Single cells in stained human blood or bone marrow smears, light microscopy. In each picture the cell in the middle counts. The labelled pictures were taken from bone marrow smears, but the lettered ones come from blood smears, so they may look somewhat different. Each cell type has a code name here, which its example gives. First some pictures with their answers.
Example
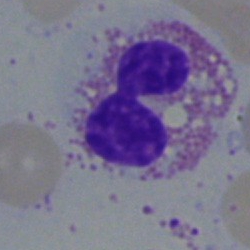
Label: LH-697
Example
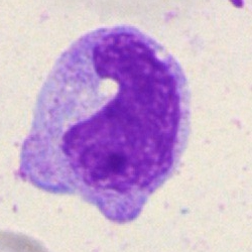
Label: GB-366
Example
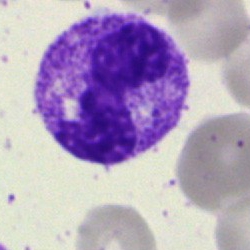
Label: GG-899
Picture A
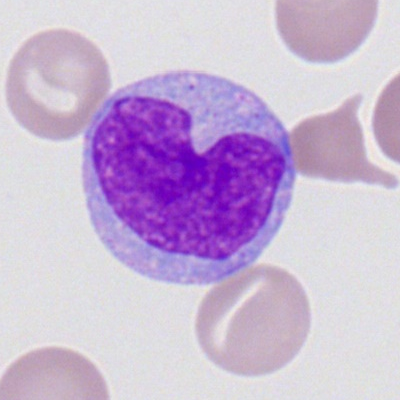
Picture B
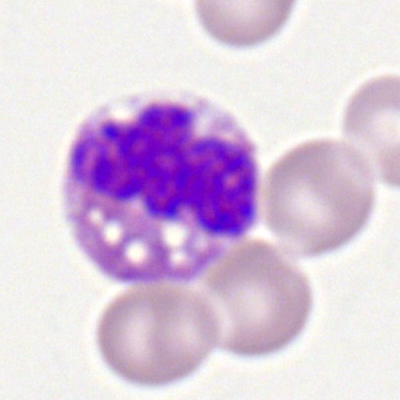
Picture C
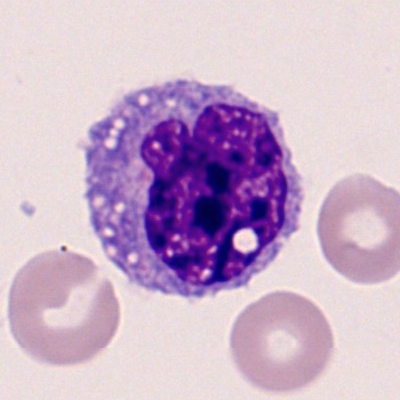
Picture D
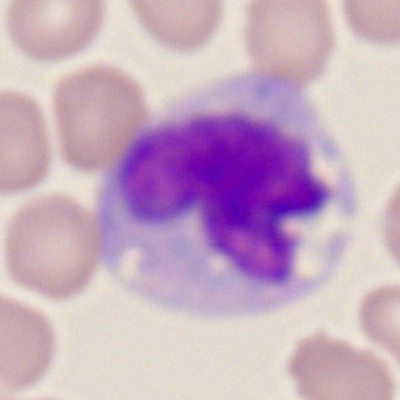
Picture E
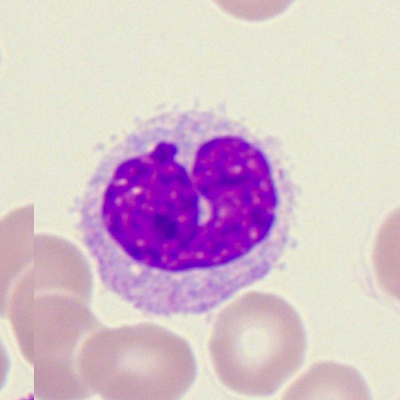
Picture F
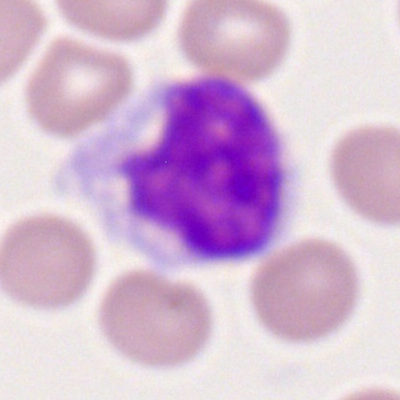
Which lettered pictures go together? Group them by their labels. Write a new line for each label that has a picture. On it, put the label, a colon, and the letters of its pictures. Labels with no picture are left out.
LH-697: B
GB-366: A, C, D, E, F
